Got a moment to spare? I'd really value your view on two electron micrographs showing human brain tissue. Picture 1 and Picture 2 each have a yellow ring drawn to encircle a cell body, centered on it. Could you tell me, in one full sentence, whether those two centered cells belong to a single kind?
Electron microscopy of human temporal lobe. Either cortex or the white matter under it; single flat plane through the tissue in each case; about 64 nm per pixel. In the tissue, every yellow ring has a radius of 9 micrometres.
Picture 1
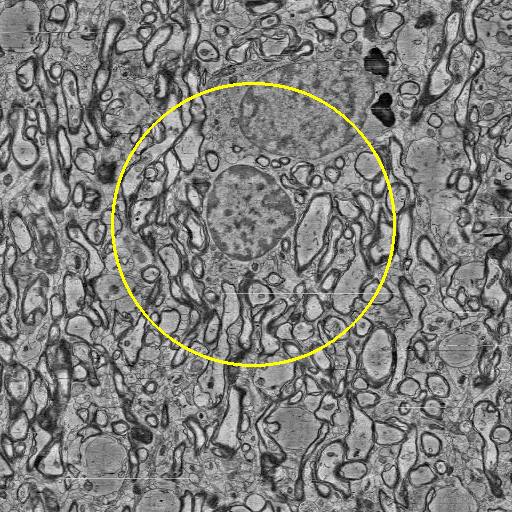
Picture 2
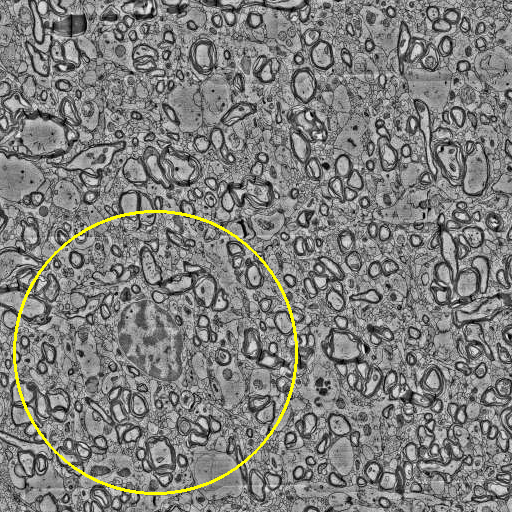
Yes, the two centered cells in Picture 1 and Picture 2 are of a single kind.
